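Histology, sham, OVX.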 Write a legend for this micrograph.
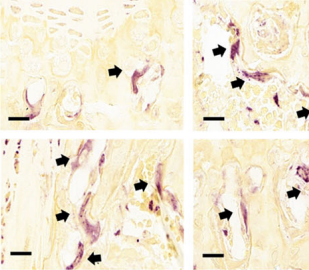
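The cells lie against the edges of pale yellow bone trabeculae and the marrow spaces between them. They are large and irregular or elongated, and black arrows mark them. Some fields hold several of these cells, while others hold only one or two.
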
